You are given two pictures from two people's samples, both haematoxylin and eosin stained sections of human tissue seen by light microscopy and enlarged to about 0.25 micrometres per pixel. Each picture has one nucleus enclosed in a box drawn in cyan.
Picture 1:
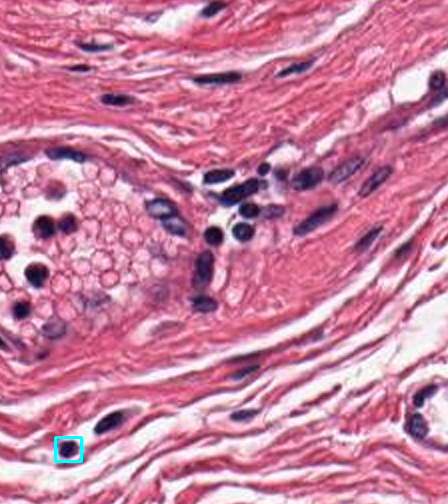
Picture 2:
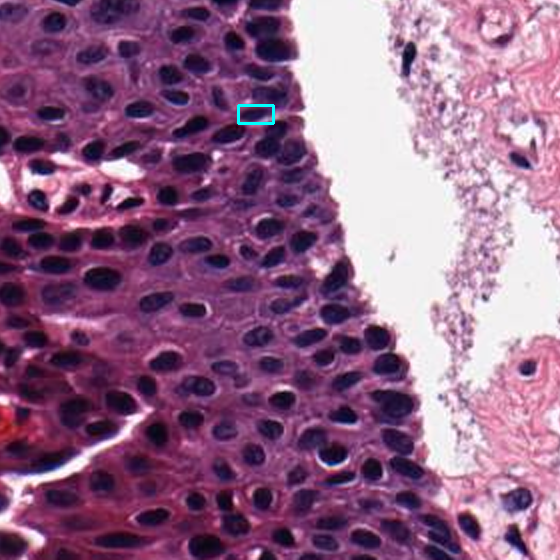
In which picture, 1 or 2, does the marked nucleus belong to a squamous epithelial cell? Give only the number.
2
